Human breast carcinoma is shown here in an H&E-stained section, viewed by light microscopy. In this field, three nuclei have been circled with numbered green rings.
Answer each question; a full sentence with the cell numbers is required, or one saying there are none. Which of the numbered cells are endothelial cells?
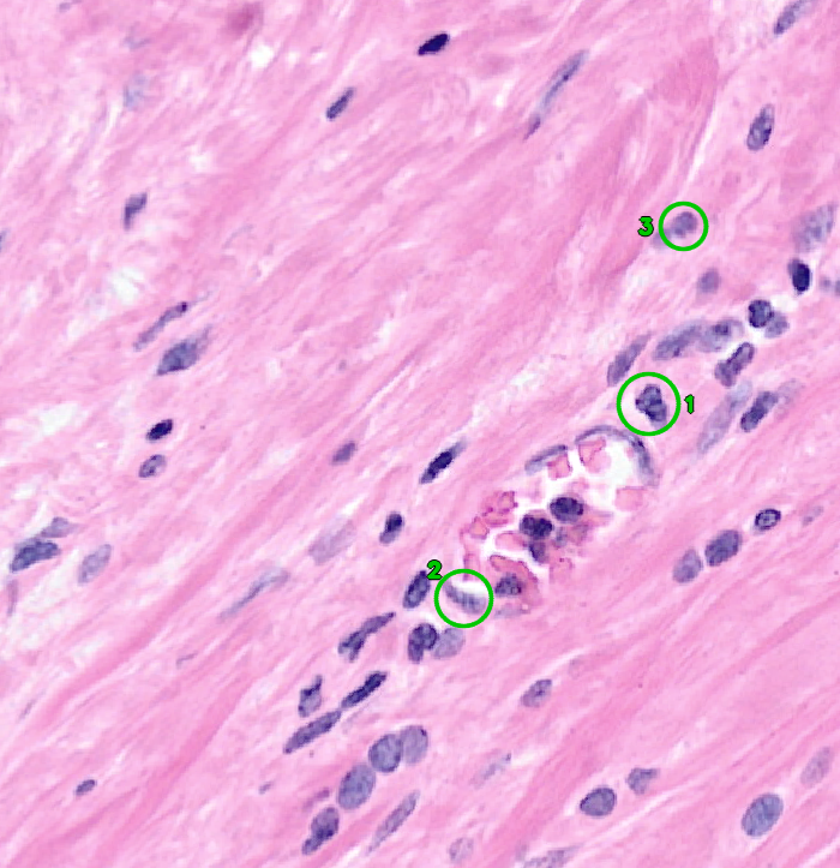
The cell labelled 2 is an endothelial cell, while the remaining numbered cells are not.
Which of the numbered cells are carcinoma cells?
Across all the numbered cells, carcinoma cells are absent.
